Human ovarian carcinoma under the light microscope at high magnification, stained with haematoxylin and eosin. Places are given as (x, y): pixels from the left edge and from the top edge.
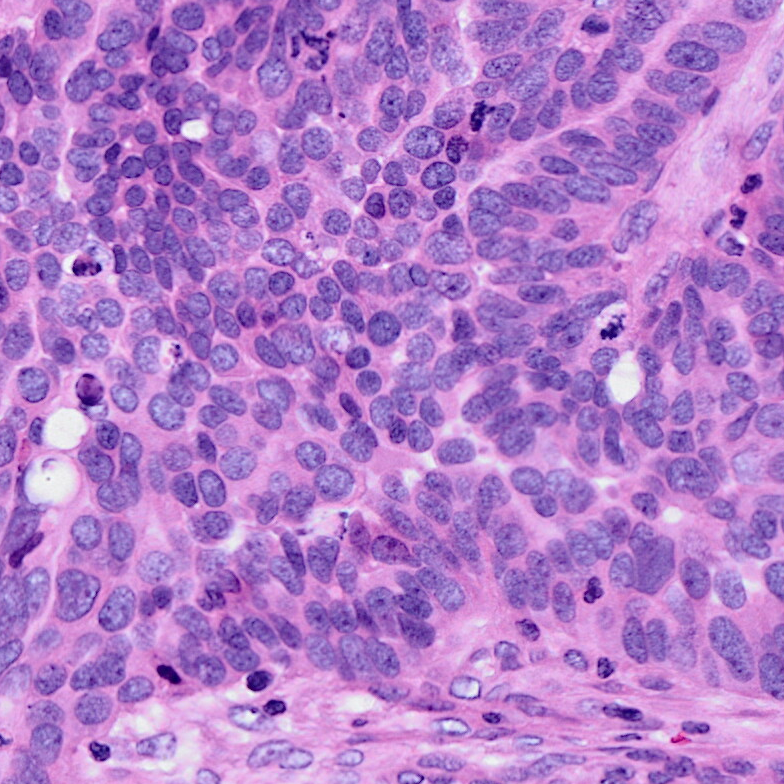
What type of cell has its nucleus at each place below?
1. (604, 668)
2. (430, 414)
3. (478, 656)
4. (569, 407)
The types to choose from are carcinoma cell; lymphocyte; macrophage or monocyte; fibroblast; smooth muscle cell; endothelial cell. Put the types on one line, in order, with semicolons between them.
lymphocyte; carcinoma cell; fibroblast; carcinoma cell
